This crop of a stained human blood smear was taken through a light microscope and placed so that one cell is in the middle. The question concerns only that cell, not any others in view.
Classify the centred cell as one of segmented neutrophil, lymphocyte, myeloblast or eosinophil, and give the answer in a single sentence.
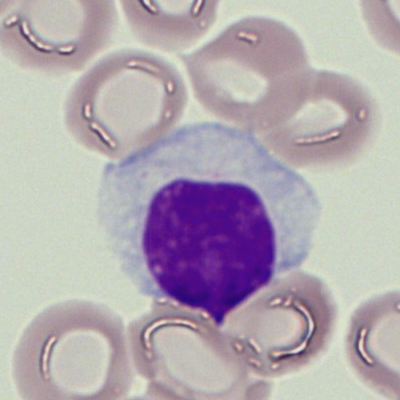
In this crop, the cell at the very middle is a lymphocyte.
